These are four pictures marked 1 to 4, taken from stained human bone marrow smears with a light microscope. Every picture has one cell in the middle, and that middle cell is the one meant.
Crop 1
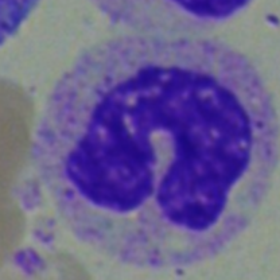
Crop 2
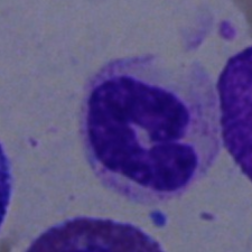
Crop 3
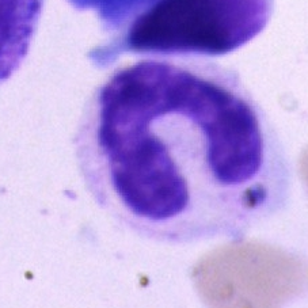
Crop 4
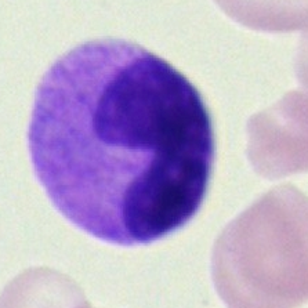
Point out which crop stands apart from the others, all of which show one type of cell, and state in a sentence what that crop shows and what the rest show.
Crop 2 differs, its cell being a segmented neutrophil, whereas the other crops show band neutrophils.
